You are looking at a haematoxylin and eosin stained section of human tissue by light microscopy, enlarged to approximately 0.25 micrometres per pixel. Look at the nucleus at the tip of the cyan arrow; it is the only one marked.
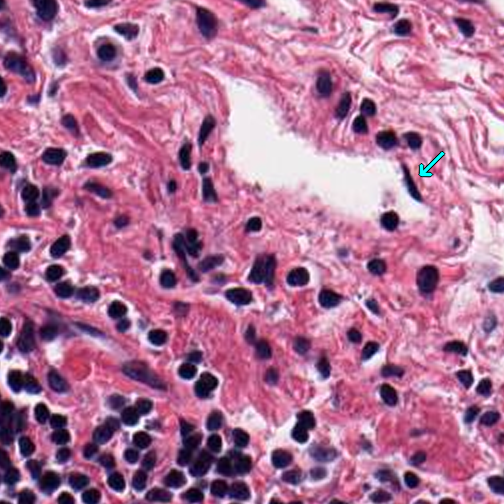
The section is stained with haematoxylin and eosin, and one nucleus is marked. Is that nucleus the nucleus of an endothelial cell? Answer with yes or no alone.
yes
